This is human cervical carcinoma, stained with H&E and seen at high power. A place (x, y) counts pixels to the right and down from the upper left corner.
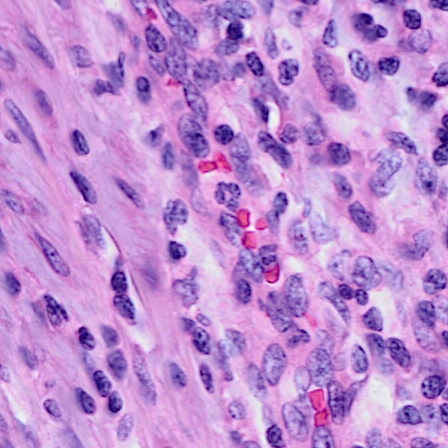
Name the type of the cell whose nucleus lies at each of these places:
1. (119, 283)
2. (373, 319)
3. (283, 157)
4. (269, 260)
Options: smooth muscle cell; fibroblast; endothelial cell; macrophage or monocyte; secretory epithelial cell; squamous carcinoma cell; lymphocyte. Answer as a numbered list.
1. lymphocyte
2. lymphocyte
3. lymphocyte
4. endothelial cell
